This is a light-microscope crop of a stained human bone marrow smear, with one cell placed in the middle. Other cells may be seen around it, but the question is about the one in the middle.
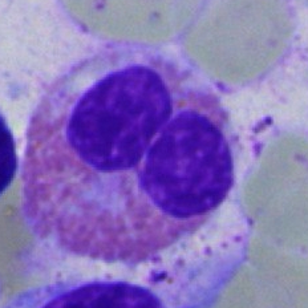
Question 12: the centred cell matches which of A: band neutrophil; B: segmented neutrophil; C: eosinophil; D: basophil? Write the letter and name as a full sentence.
The correct option, C, names the middle cell as an eosinophil.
